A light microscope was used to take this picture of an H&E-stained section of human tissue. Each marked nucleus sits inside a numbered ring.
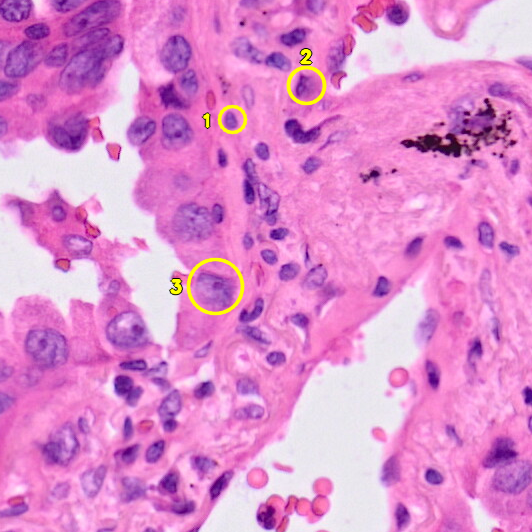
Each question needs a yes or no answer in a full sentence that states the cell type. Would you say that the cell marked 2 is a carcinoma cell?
No, the cell that carries number 2 is a plasma cell, not a carcinoma cell.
